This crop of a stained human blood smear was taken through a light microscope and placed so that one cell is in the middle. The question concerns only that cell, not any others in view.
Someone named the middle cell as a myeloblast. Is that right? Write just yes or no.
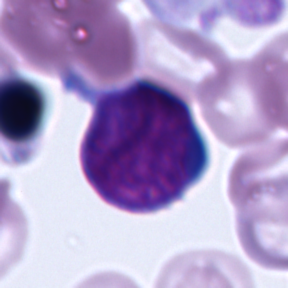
yes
